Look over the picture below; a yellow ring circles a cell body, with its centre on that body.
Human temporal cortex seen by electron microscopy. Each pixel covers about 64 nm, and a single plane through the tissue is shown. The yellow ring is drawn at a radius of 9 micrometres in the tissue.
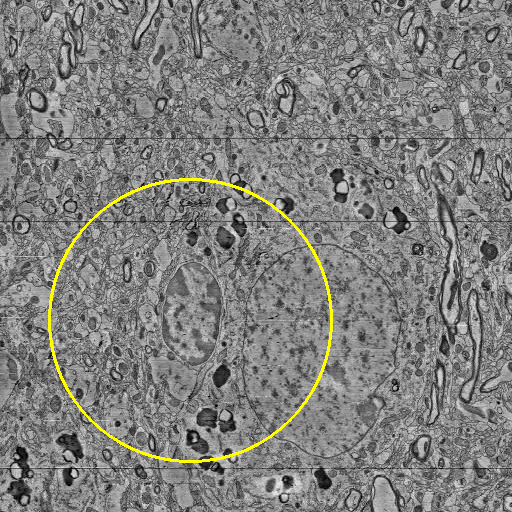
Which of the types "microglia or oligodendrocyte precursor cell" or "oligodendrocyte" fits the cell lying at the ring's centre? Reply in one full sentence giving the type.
The picture shows a microglial cell or oligodendrocyte precursor cell at the centre of the yellow ring.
